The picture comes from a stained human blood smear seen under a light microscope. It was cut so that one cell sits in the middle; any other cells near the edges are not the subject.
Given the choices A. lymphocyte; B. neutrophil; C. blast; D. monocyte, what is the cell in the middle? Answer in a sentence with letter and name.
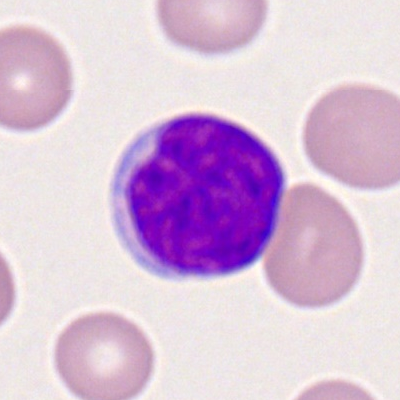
Option A is correct, naming the cell in the middle as a lymphocyte.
